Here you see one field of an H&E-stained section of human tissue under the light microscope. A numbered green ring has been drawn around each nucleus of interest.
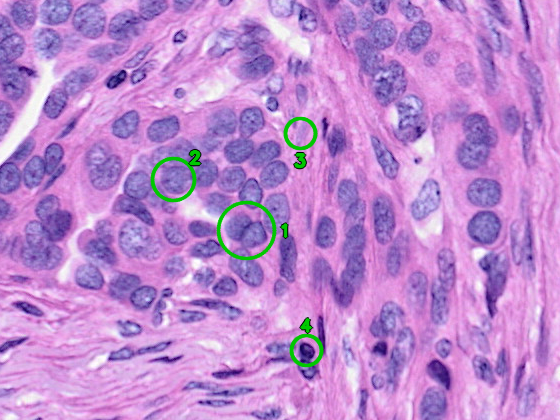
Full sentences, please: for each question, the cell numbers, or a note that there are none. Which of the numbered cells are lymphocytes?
Among the numbered cells, a lymphocyte occurs only once, as cell 4.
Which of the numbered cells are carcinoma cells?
The cells numbered 1 and 2 are identified as carcinoma cells.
